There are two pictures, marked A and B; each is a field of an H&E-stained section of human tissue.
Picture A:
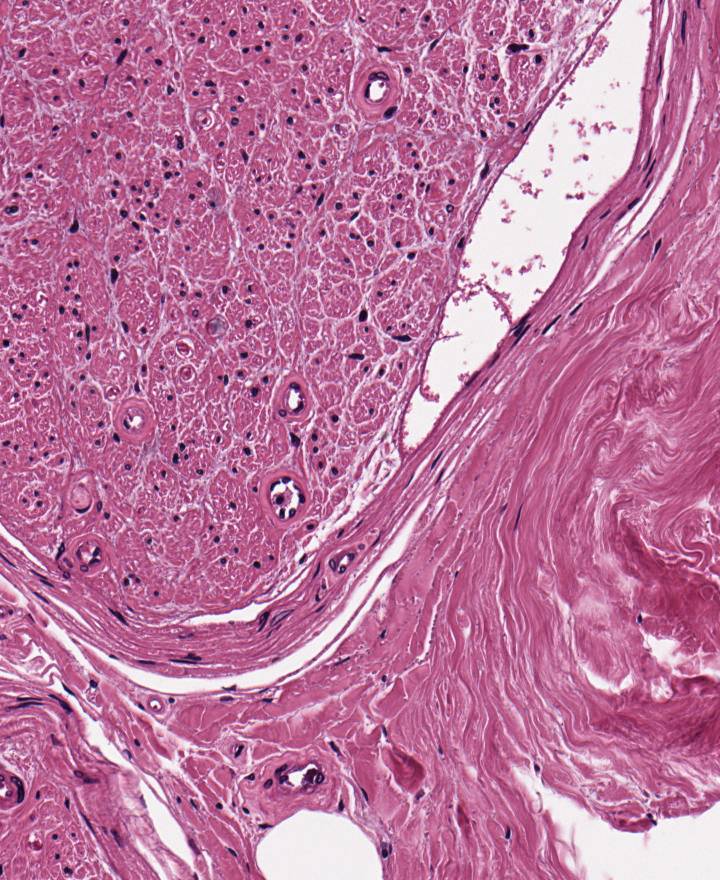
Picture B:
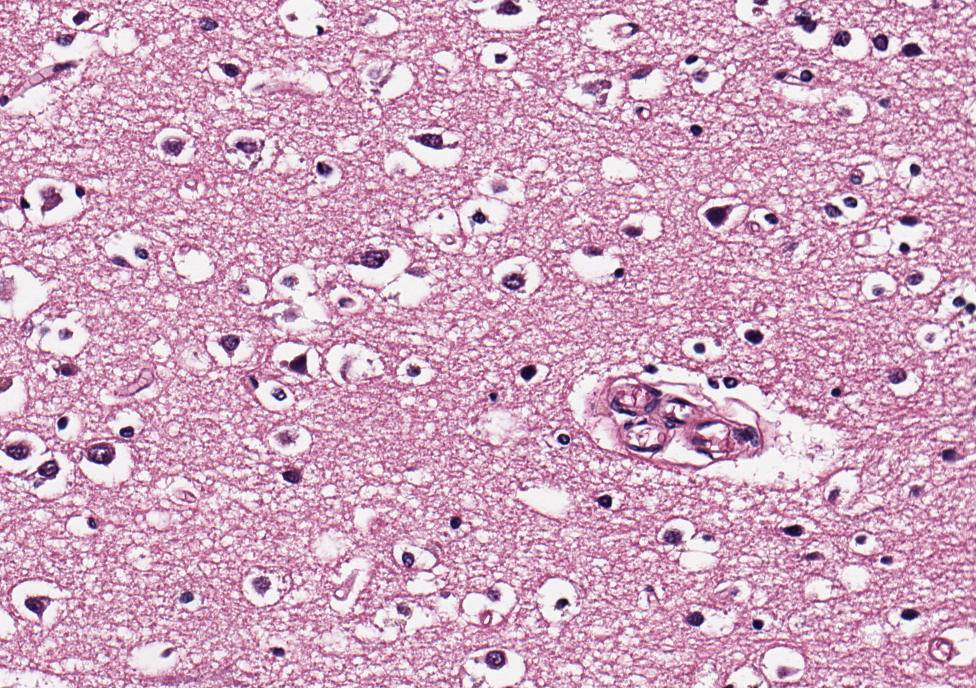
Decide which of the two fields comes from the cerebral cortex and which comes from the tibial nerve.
A: tibial nerve
B: cerebral cortex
